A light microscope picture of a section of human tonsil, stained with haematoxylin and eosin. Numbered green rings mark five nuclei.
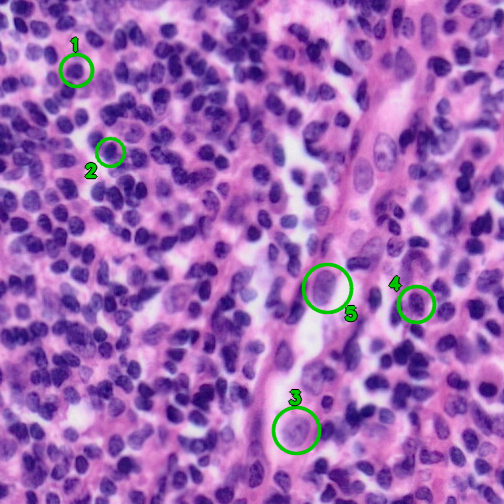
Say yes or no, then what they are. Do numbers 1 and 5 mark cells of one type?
No, cell 1 is a small lymphocyte and cell 5 is an endothelial cell.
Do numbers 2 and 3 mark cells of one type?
No, cell 2 is a small lymphocyte and cell 3 is an endothelial cell.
